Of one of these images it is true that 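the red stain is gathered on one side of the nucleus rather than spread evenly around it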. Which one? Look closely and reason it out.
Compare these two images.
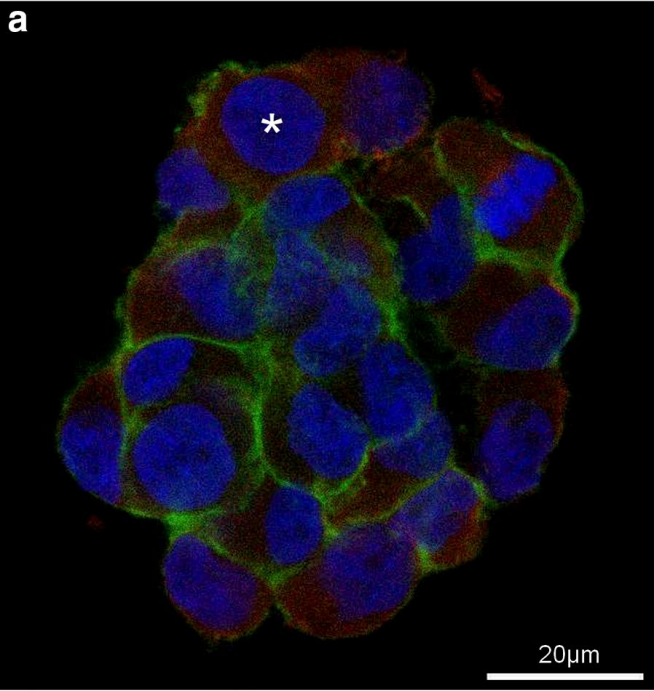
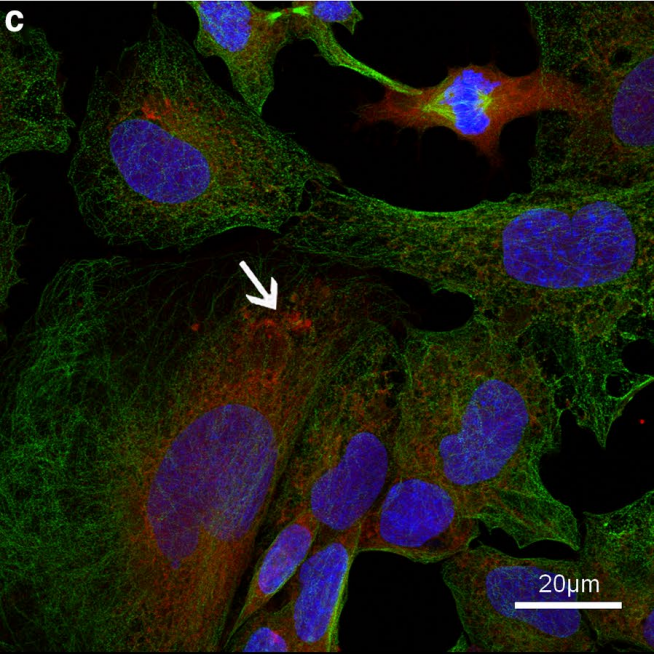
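Second image: in the large lower cell red is concentrated in a zone above its nucleus, while many other cells show little red.
Answer: the second image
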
